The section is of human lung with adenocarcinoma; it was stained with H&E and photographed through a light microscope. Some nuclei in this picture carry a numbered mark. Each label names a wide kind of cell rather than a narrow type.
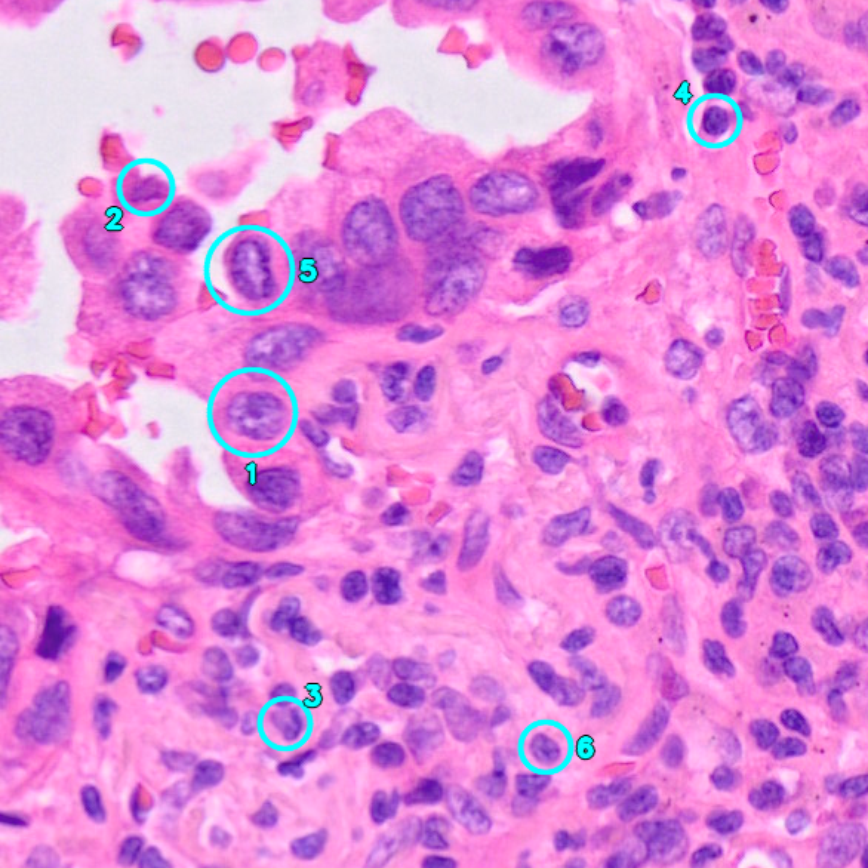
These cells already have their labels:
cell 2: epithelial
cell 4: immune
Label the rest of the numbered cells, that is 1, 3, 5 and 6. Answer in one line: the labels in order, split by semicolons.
epithelial; immune; epithelial; immune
